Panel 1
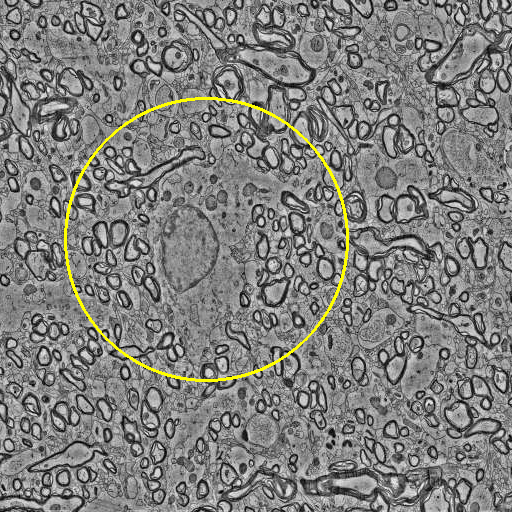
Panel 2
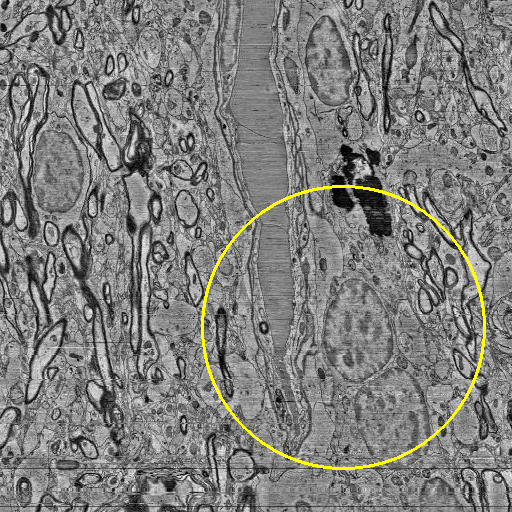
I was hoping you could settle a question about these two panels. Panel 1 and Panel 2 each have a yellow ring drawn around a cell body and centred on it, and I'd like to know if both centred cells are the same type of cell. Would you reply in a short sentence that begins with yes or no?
No, they are two types of cell.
